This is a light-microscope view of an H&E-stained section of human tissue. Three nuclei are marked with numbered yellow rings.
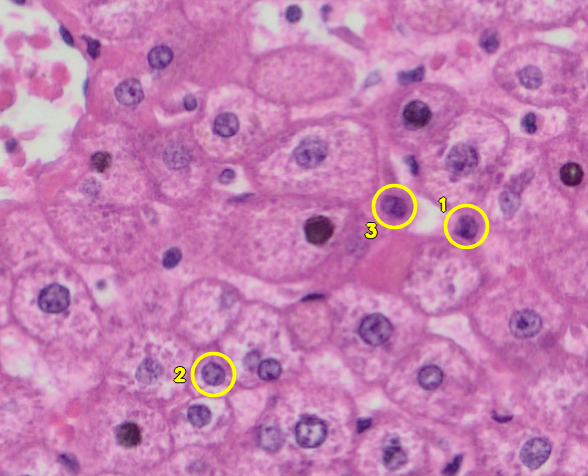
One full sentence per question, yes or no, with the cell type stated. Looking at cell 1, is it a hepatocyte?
No, number 1 identifies an endothelial cell, not a hepatocyte.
